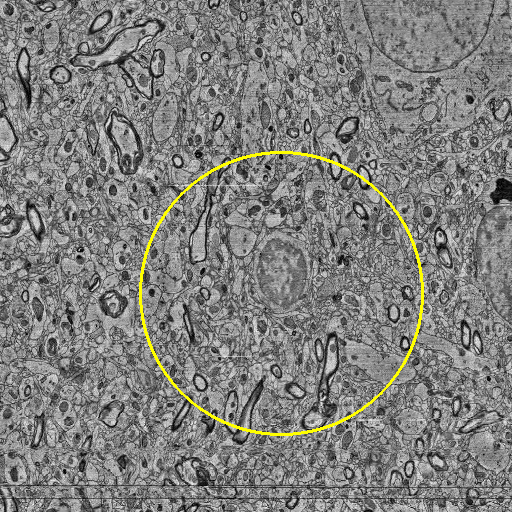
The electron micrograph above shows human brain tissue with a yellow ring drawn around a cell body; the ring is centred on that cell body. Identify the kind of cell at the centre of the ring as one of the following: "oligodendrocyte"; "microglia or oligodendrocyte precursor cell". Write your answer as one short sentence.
The cell at the centre of the ring is an oligodendrocyte.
